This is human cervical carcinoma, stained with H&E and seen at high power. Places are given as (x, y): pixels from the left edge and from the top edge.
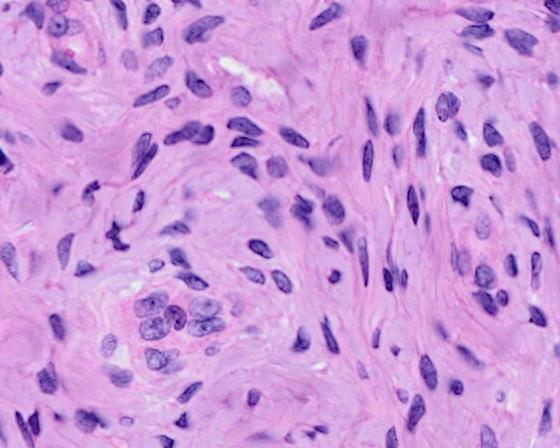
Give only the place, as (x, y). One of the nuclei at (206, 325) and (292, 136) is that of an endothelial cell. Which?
(206, 325)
